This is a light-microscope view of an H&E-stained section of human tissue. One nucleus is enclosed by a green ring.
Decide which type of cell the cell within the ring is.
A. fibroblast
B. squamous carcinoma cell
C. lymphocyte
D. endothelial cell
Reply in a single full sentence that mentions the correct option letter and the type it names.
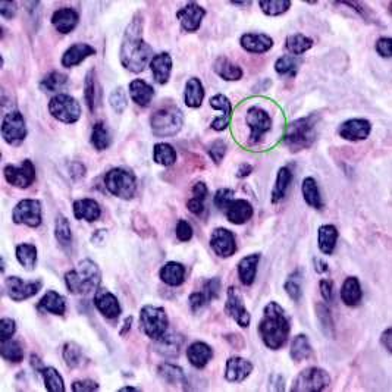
Option C is the one to take: the cell within the ring is a lymphocyte.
